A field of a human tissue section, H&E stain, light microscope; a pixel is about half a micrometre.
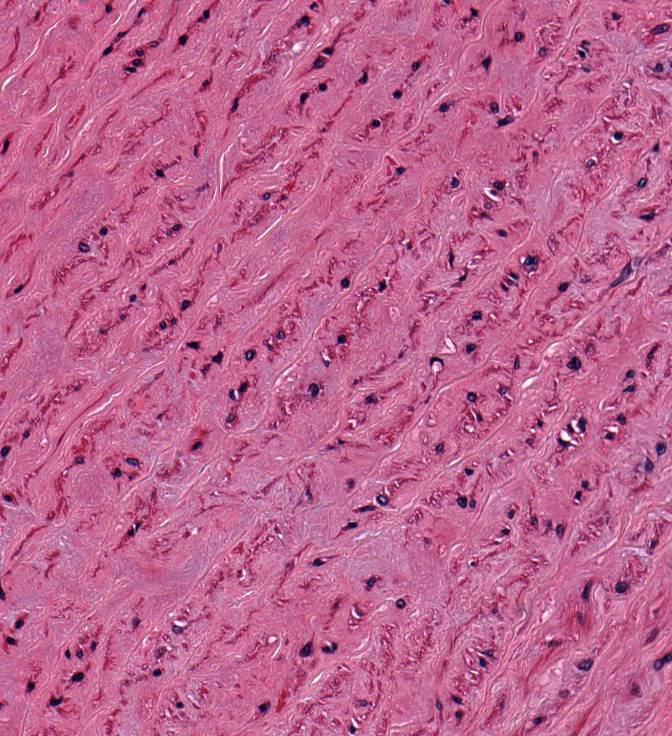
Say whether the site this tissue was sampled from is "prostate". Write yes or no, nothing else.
no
